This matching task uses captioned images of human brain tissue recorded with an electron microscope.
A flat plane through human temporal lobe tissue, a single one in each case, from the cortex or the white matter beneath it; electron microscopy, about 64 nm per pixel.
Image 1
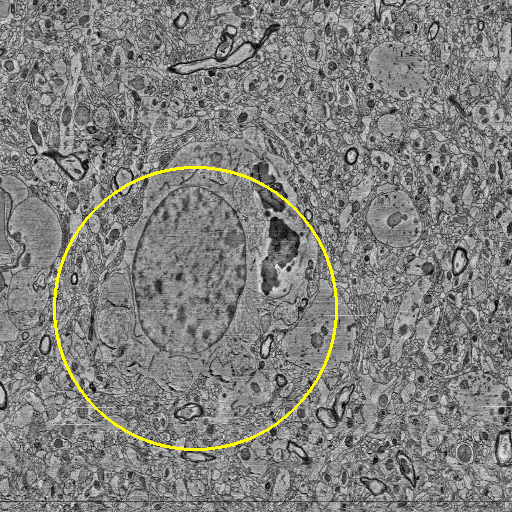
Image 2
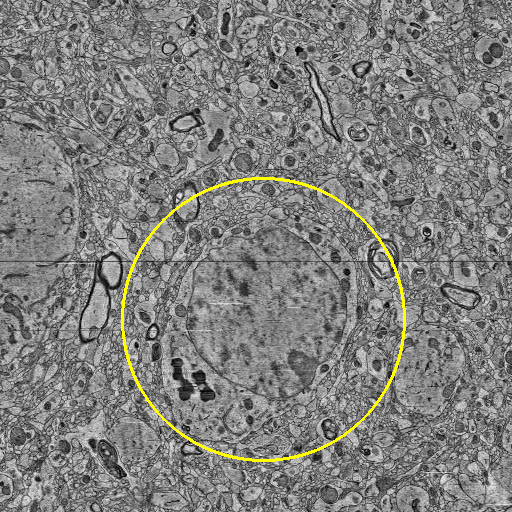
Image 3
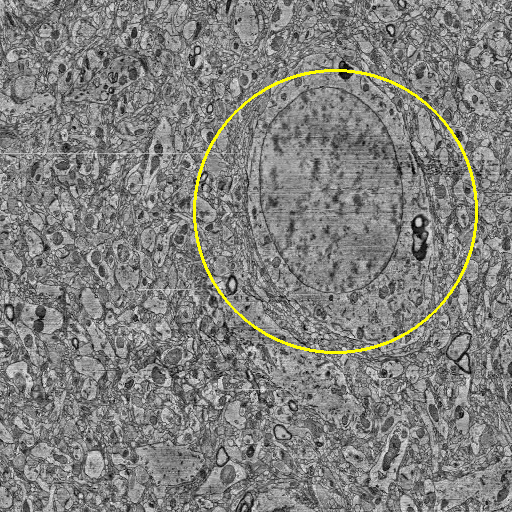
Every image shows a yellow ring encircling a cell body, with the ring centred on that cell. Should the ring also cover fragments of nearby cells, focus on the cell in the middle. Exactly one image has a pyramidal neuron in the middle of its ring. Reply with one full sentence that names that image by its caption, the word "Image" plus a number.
Image 3 shows the cell in question at the centre of its yellow ring.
